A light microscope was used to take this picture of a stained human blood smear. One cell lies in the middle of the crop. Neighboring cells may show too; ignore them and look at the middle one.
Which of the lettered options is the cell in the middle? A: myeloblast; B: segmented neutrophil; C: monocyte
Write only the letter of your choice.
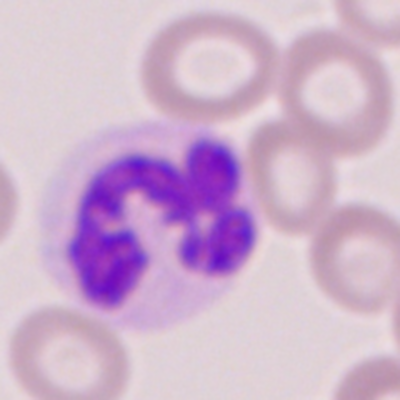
B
